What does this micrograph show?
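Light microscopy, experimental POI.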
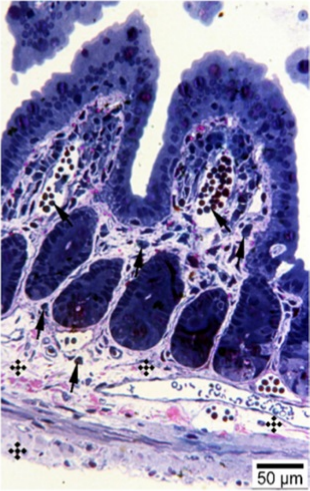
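This section of intestinal wall shows finger-like projections covered by a blue-stained columnar epithelium, with rounded glands in cross-section at their base. The connective tissue between and around the glands holds clusters of small, round, very dark cells, an inflammatory infiltrate. Beneath the glands the tissue is loosened into wide pale spaces crossed by thin strands, a sign of edema. Deeper still, a more compact band of layered tissue stained pale lilac runs along the bottom of the section.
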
